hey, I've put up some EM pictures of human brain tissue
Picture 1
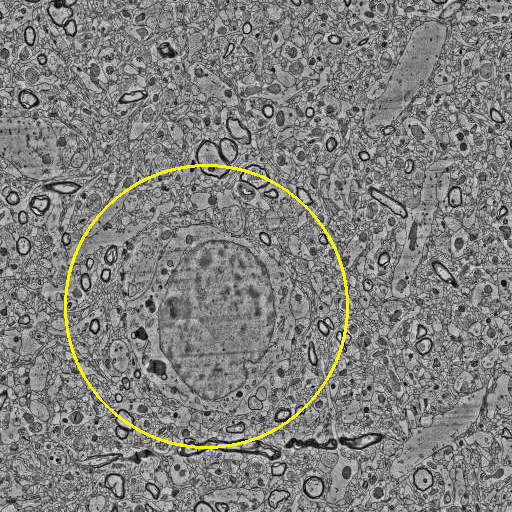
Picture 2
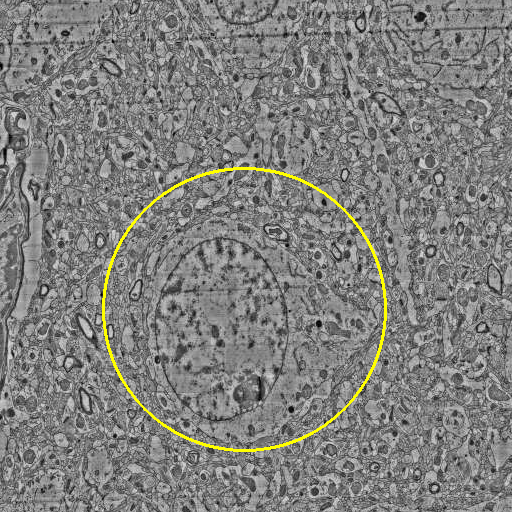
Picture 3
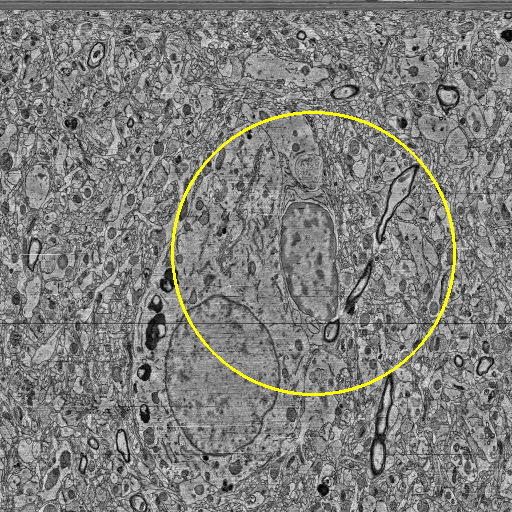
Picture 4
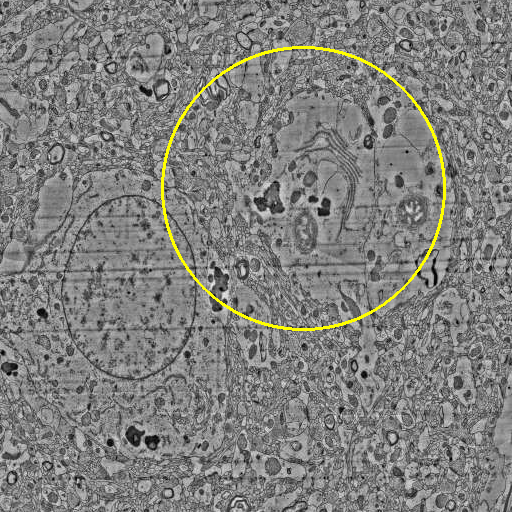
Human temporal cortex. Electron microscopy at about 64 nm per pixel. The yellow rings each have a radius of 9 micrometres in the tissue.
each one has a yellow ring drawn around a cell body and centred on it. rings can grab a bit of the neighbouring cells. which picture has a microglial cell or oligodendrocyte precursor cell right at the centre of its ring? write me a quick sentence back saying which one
It's Picture 3.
